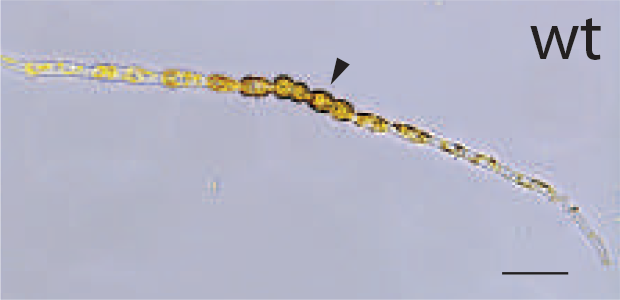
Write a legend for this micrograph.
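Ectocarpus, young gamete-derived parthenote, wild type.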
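A single uniseriate filament of brown algal cells runs diagonally across the field, tapering to thin, pale cells at both ends. In its middle the cells are rounded and bead-like, packed end to end, with dense golden-brown contents and darker, thicker outlines. Towards the ends the cells become narrower and paler.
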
